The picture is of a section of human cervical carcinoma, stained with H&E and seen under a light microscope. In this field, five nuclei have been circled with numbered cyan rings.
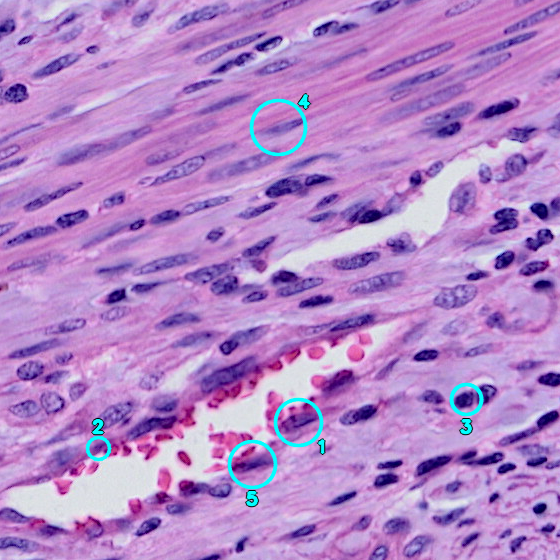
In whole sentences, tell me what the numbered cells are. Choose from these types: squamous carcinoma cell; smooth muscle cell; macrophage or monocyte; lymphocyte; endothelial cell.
Cells 1, 2 and 5 are endothelial cells. Cell 3 is a lymphocyte. Cell 4 is a smooth muscle cell.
